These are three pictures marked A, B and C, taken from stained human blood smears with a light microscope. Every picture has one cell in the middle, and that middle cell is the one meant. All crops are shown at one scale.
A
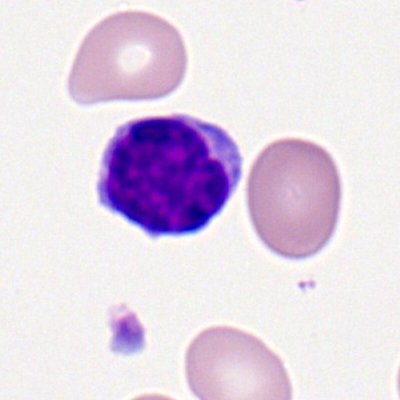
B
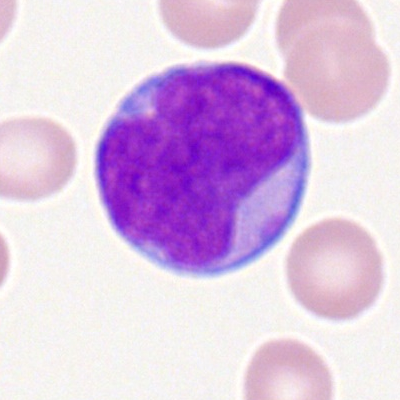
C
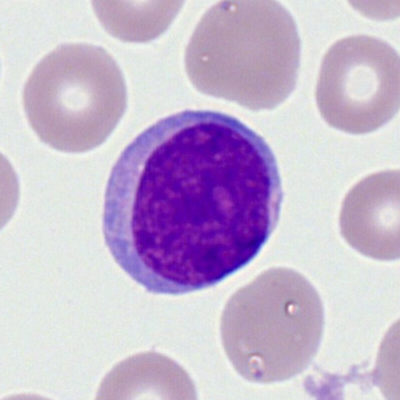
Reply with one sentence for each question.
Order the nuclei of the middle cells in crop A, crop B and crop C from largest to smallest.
The order is B, C, A, beginning with the largest.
